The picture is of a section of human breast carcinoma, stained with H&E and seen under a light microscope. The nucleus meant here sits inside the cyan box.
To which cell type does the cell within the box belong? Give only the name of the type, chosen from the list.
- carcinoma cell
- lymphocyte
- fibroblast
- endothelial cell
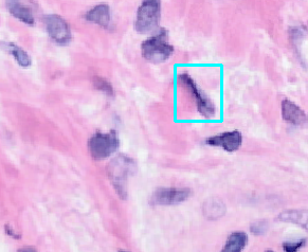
fibroblast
